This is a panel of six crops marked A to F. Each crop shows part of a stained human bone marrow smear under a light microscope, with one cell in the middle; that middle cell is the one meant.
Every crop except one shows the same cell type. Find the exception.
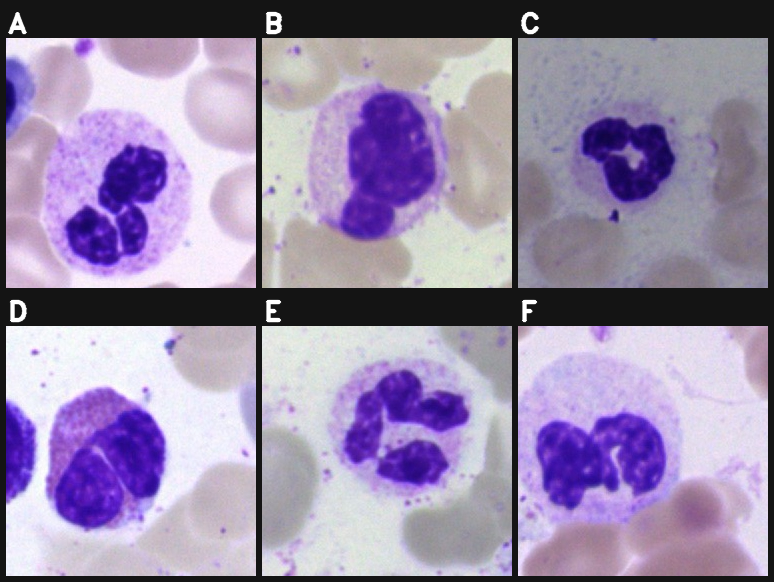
D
